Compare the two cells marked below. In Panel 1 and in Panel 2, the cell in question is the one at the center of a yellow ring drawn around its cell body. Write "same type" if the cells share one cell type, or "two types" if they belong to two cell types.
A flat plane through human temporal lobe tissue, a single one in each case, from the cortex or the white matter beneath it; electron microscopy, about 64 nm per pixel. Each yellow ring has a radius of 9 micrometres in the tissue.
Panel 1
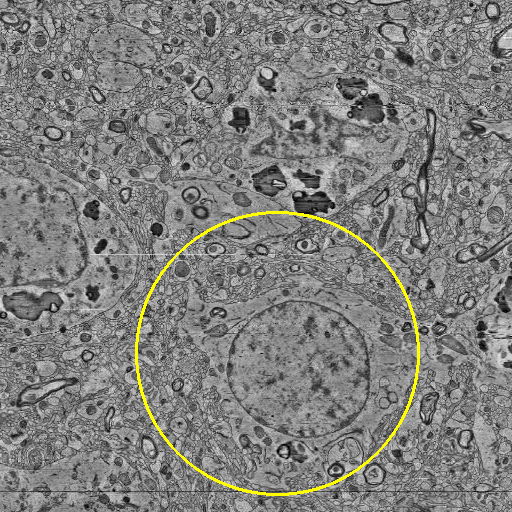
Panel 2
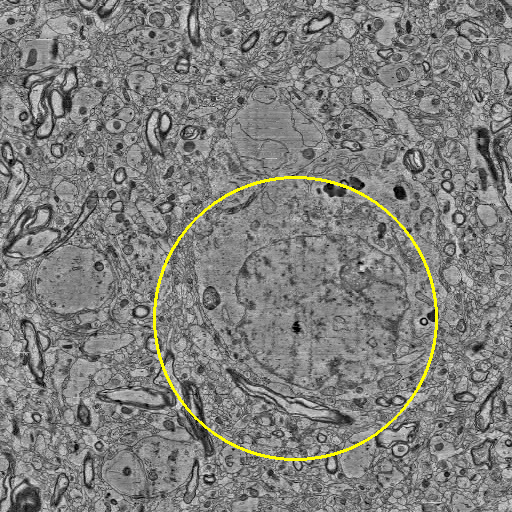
two types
